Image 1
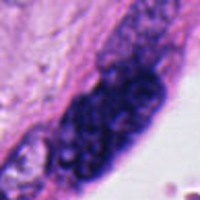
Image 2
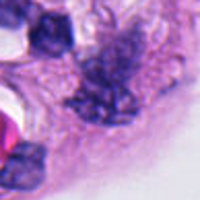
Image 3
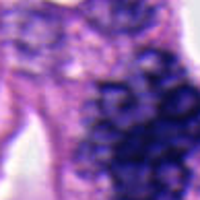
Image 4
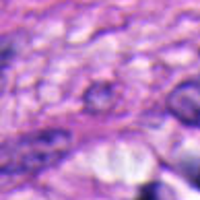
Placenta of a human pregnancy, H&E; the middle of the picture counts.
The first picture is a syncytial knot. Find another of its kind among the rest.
Picture 3.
